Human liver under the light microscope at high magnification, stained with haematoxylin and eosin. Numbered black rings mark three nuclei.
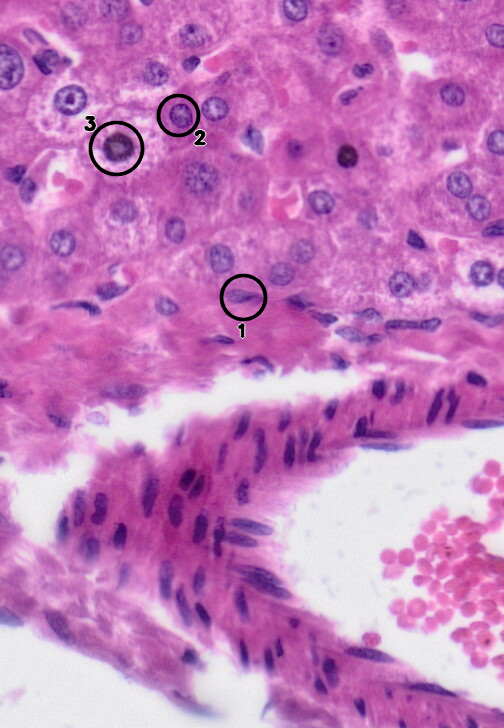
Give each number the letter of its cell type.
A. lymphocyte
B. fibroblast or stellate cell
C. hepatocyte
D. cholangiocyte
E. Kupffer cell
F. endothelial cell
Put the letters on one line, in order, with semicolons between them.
B; C; C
